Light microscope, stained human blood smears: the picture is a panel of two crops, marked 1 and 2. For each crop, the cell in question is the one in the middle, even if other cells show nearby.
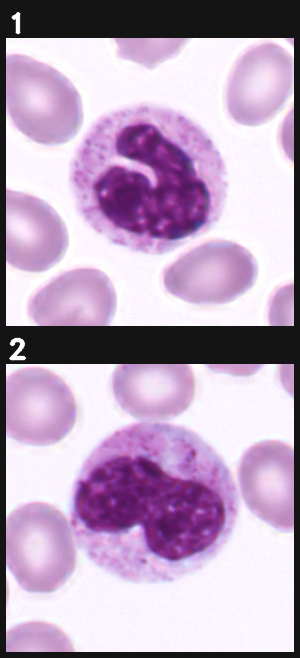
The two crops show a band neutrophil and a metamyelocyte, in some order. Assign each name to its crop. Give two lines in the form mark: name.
1: band neutrophil
2: metamyelocyte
